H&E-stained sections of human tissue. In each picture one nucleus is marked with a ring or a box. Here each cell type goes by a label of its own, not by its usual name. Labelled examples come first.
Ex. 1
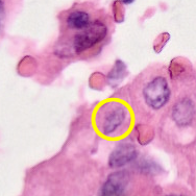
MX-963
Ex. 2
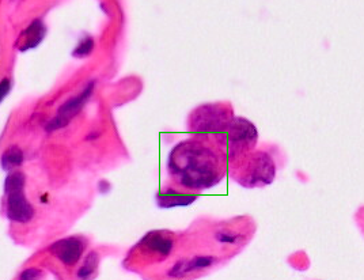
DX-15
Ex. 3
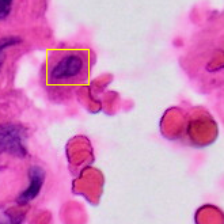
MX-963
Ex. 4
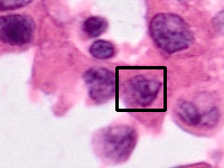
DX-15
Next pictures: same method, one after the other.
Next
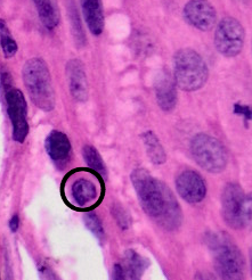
MX-963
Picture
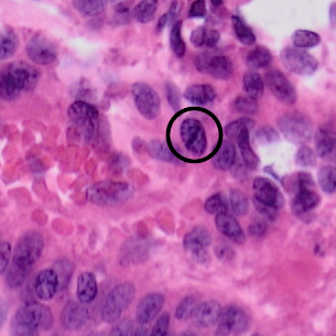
MX-963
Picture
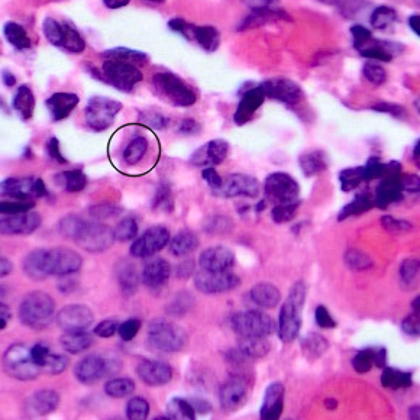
MX-963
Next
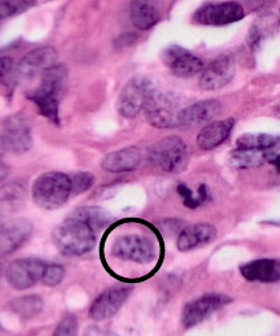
MX-963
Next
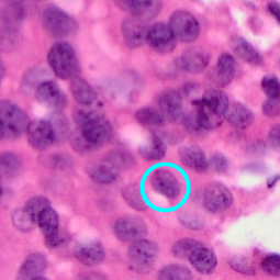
DX-15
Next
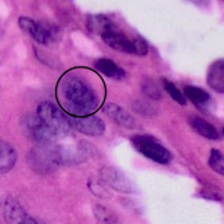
DX-15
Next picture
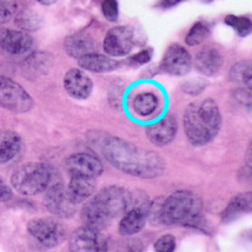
MX-963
